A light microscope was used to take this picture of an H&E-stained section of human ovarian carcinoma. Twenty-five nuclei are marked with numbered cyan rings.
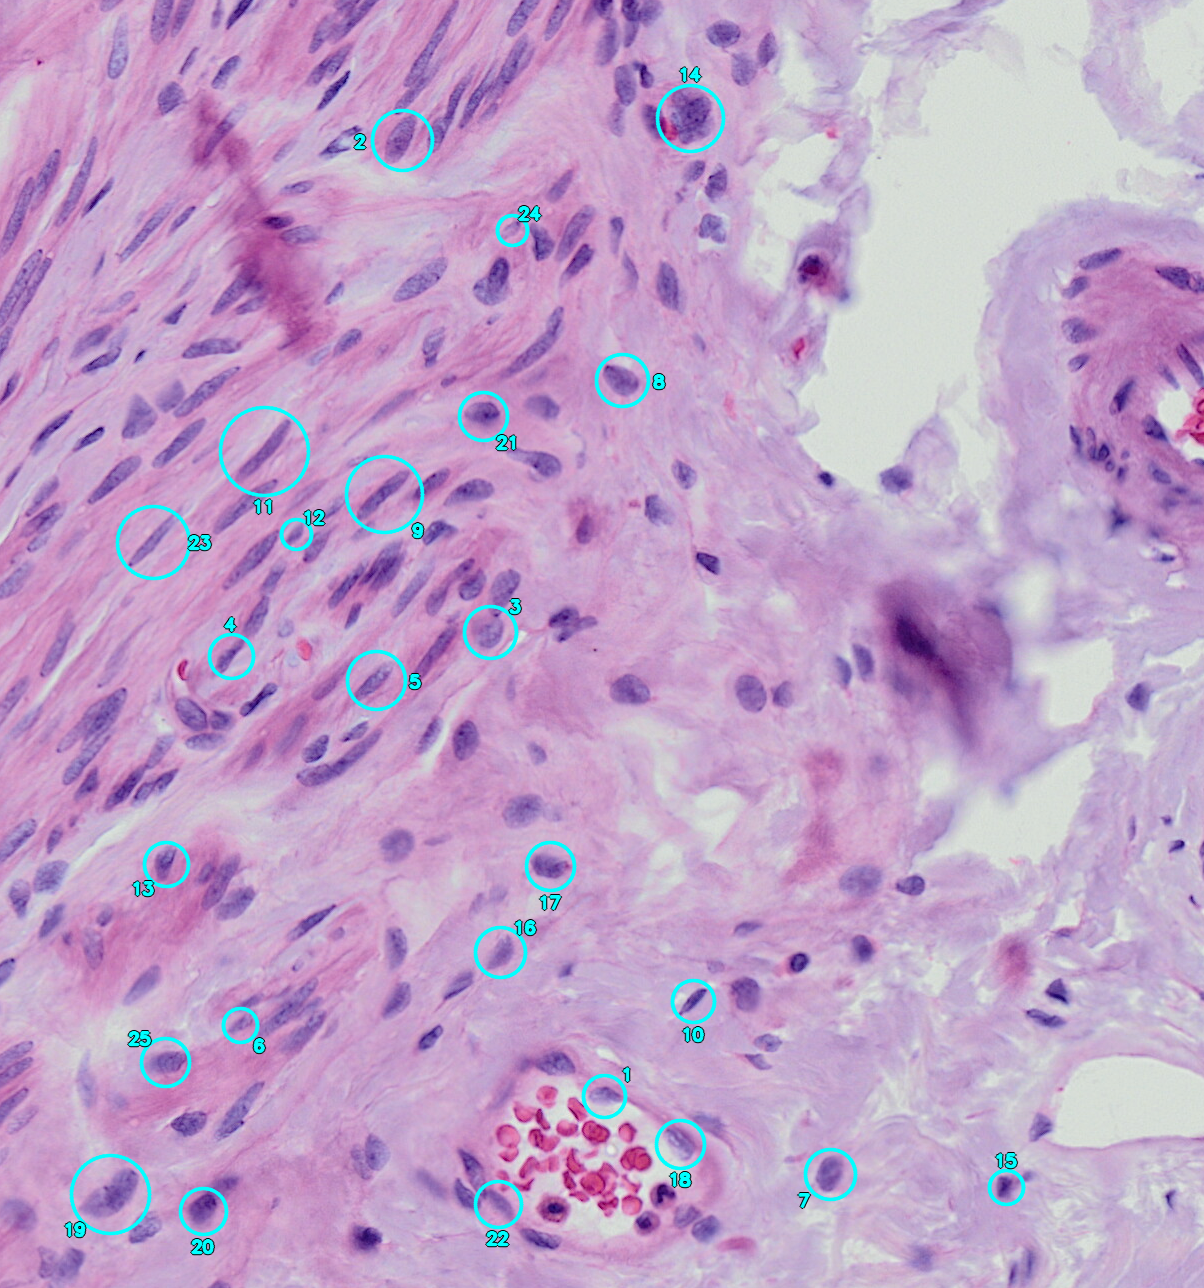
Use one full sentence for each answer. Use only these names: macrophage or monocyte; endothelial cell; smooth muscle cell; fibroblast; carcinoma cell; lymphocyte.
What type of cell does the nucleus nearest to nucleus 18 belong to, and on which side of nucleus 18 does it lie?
A fibroblast lies closest, above and to the right of nucleus 18.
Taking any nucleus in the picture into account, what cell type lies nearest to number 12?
Number 12 lies closest to the nucleus of a smooth muscle cell.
